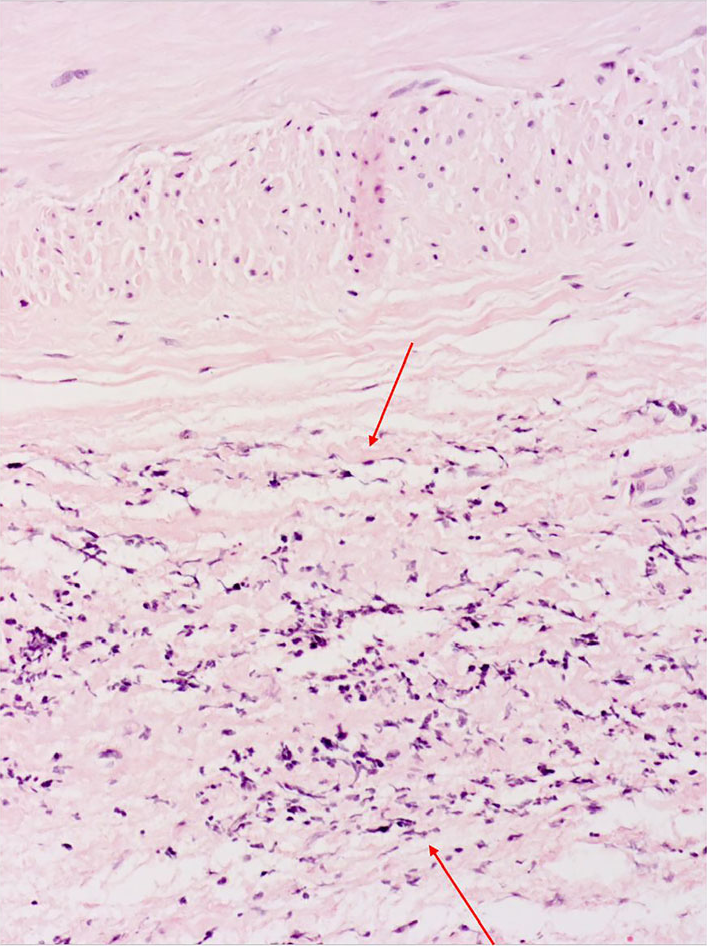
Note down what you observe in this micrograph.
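This section of an artery wall shows compact layers of the vessel wall in the upper part and a loose outer connective tissue layer below. The lower, outer layer consists of loosely arranged wavy pink fibres with clear spaces between them, and it holds many dark purple, mostly elongated or irregular nuclei. No multinucleated giant cells are to be seen.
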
